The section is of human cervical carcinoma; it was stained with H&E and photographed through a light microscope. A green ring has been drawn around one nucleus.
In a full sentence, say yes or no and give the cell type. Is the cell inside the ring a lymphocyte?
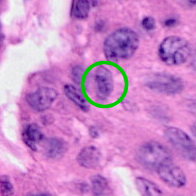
No, the cell inside the ring is not a lymphocyte, being instead a squamous carcinoma cell.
